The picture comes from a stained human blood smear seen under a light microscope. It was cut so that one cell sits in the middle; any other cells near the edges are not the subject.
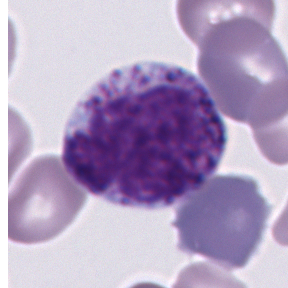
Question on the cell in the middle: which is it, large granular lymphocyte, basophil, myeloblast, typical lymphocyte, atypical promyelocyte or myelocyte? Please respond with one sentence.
The cell at the middle of the crop is recognized as a basophil.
